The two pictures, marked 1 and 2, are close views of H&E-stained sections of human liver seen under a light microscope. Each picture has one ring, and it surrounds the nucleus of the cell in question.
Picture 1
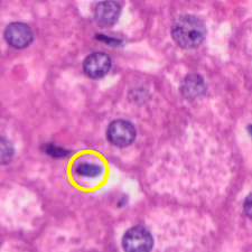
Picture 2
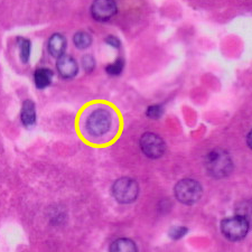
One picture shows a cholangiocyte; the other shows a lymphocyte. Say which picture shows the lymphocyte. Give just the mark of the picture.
1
